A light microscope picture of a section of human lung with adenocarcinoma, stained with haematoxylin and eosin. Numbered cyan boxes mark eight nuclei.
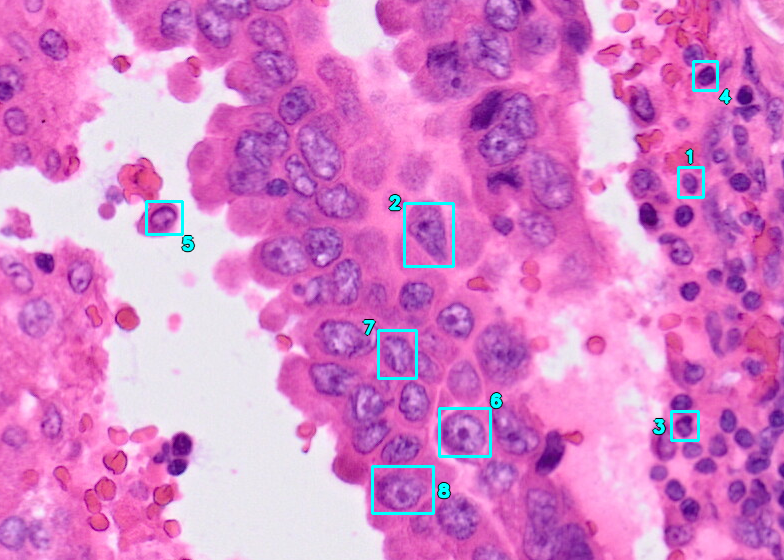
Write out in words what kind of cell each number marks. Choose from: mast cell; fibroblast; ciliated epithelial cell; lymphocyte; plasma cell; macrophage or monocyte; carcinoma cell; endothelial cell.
Cell 1 is a lymphocyte, cell 2 is a carcinoma cell, cell 3 is a lymphocyte, cell 4 is a lymphocyte, cell 5 is a macrophage or monocyte, cell 6 is a carcinoma cell, cell 7 is a carcinoma cell and cell 8 is a carcinoma cell.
